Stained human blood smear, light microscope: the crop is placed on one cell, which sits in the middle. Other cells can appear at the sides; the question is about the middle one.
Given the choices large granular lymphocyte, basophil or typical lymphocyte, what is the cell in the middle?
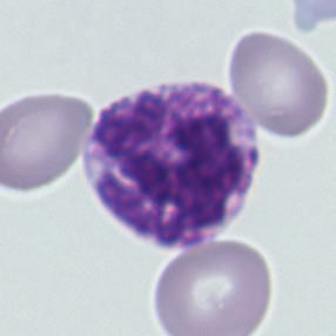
basophil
